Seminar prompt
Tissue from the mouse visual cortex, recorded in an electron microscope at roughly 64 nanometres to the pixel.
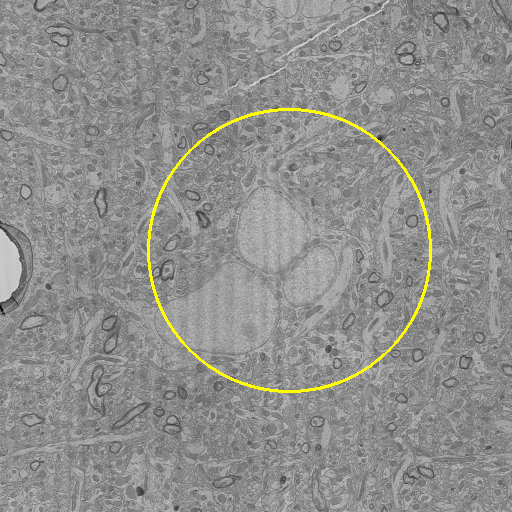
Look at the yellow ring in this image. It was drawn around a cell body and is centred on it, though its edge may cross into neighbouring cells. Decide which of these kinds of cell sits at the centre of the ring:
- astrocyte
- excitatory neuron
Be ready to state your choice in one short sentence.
The kind of cell at the ring's centre is an astrocyte.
